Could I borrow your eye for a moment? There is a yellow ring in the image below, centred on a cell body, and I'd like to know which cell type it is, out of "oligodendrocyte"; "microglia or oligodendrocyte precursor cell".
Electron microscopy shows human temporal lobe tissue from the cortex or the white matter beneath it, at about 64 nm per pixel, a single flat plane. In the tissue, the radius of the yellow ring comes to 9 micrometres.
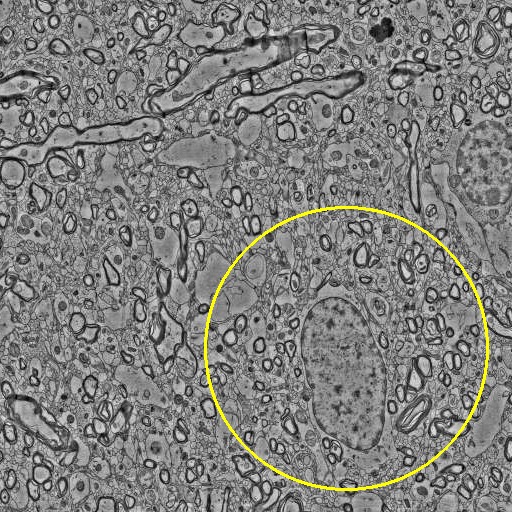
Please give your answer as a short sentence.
The cell body at the centre is that of a microglial cell or oligodendrocyte precursor cell.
